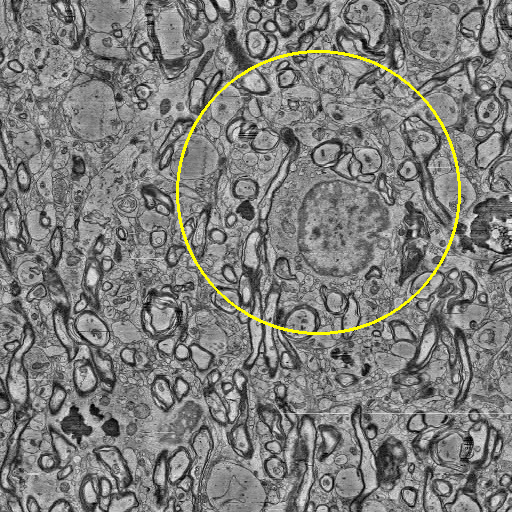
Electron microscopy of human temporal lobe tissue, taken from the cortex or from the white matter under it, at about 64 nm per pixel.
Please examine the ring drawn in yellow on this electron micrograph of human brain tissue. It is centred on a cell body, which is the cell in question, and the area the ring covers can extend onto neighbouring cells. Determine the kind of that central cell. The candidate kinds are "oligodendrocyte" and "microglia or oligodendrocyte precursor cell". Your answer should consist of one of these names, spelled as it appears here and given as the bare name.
oligodendrocyte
